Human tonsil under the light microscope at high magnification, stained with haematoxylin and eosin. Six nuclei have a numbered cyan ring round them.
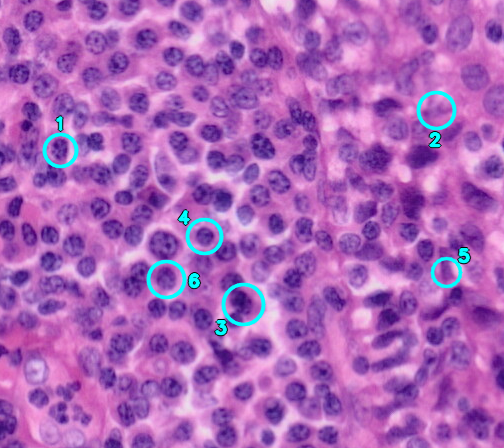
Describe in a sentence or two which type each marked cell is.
Cell 1 is a plasma cell, cell 2 is a squamous epithelial cell, cell 3 is a plasma cell, cell 4 is a plasma cell, cell 5 is a squamous epithelial cell and cell 6 is a plasma cell.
